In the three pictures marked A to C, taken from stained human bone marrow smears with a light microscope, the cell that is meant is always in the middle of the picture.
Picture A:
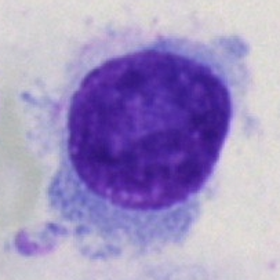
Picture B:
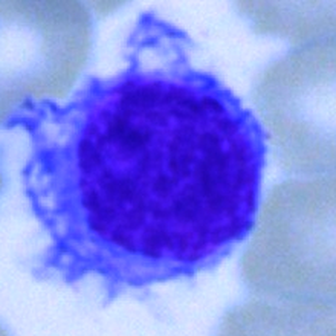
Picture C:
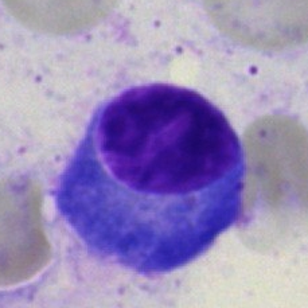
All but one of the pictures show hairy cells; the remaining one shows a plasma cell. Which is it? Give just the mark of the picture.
C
